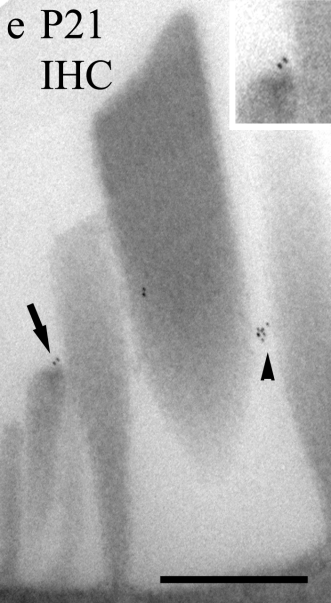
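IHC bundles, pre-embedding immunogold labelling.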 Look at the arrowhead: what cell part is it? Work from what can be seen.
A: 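The arrowhead points to the side of a tall projection, away from its tip. A few gold particles lie along its edge.
Shafts of the stereocilia.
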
